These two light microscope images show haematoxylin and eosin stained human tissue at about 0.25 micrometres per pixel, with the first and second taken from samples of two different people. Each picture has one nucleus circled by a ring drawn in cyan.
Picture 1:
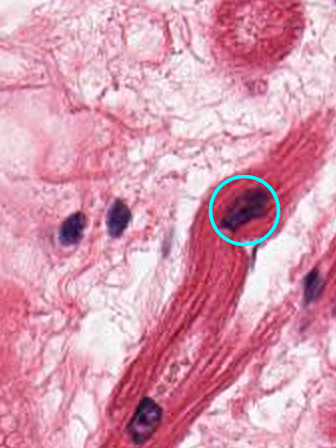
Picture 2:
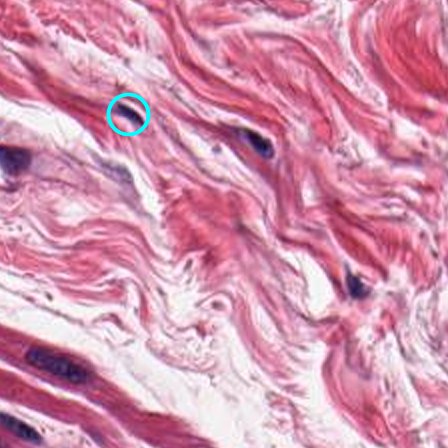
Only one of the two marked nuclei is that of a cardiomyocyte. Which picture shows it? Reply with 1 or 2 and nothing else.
1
